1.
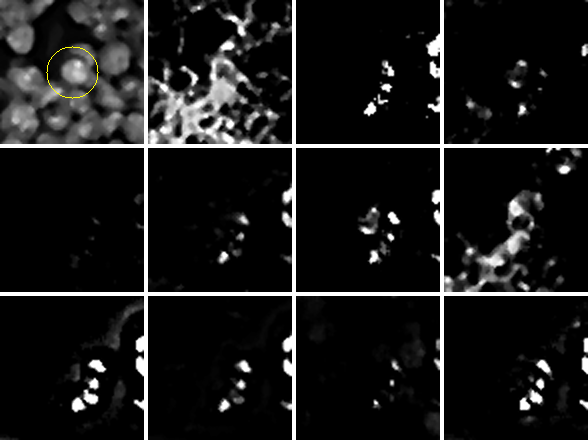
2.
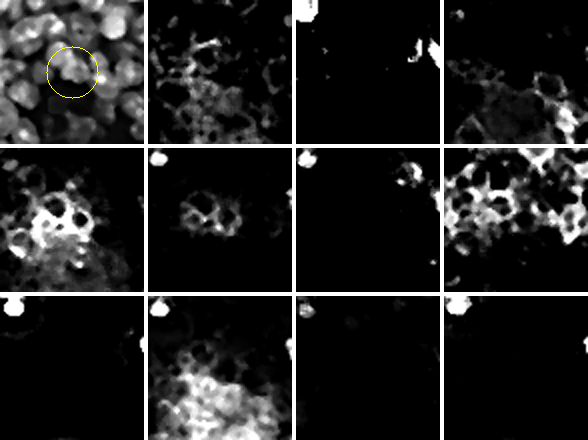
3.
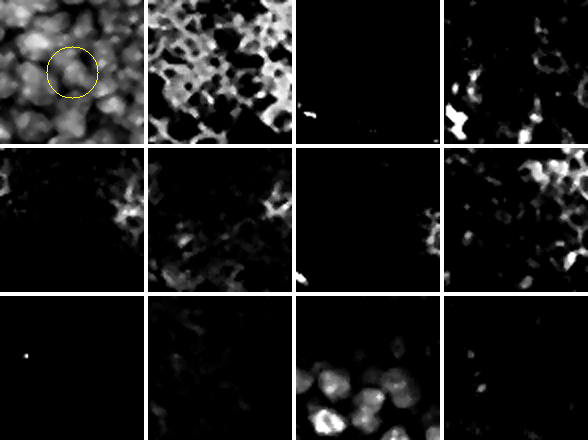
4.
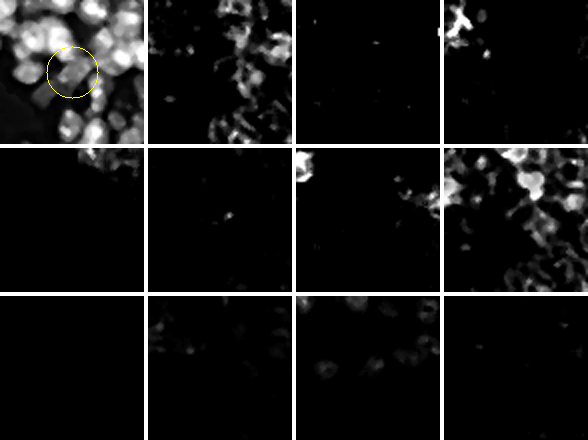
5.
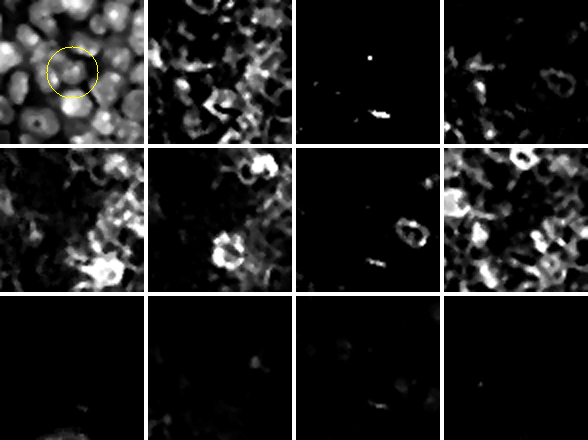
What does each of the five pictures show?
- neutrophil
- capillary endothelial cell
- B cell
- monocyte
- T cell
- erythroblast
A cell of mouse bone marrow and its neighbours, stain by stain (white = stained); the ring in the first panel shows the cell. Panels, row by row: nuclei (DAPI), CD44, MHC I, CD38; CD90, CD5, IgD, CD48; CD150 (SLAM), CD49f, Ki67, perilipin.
(1) B cell
(2) T cell
(3) erythroblast
(4) erythroblast
(5) neutrophil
